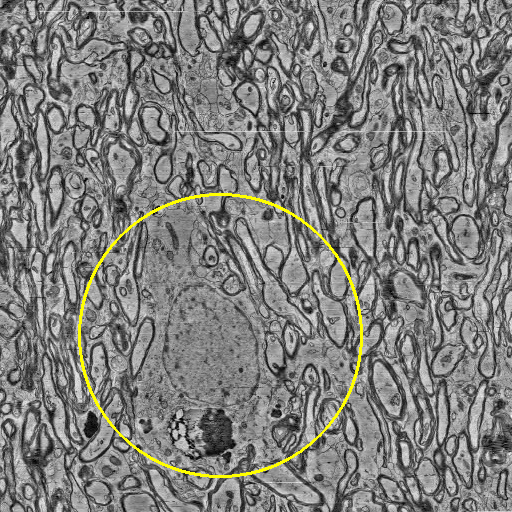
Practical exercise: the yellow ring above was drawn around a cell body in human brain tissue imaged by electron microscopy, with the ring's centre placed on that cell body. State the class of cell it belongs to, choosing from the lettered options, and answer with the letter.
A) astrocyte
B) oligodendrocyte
A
